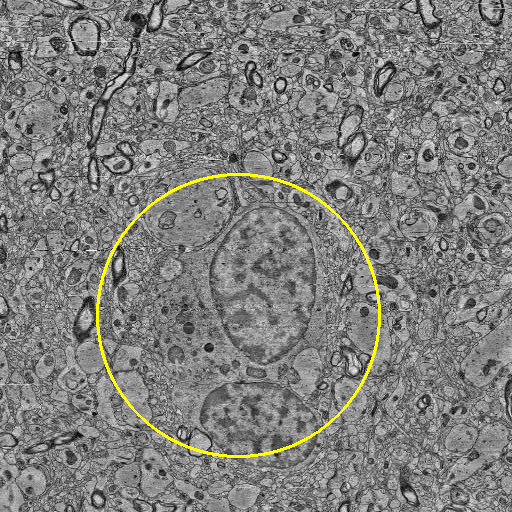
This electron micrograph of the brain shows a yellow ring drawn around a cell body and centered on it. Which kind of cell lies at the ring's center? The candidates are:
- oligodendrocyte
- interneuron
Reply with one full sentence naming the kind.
The cell lying at the ring's center in this micrograph is an oligodendrocyte.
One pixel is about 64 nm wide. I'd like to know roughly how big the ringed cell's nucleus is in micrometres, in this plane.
The nucleus appears roughly 9 by 7 micrometres in this plane.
